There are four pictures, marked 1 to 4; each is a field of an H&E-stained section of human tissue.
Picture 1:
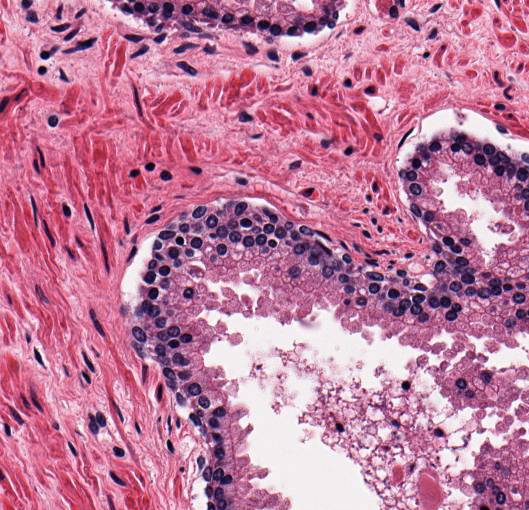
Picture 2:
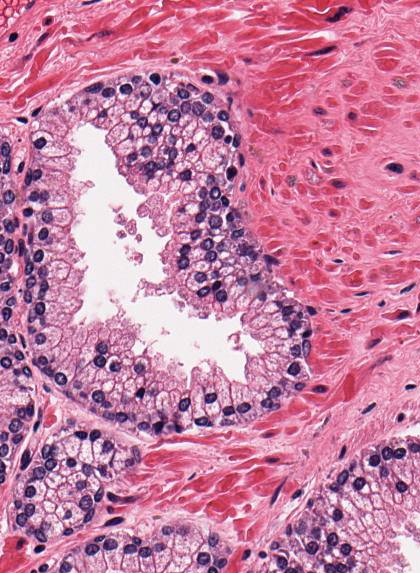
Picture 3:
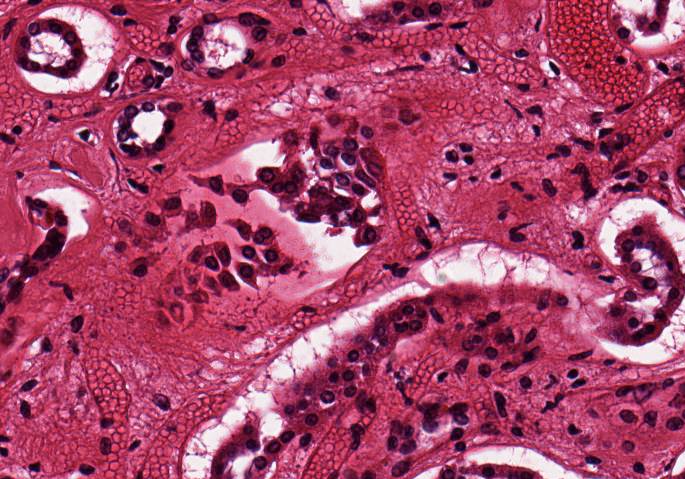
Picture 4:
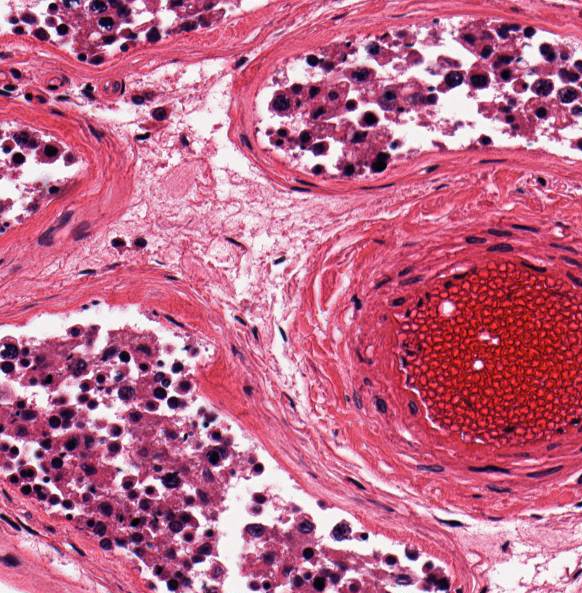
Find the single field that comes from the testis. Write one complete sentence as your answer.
Picture 4 is the field that comes from the testis.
